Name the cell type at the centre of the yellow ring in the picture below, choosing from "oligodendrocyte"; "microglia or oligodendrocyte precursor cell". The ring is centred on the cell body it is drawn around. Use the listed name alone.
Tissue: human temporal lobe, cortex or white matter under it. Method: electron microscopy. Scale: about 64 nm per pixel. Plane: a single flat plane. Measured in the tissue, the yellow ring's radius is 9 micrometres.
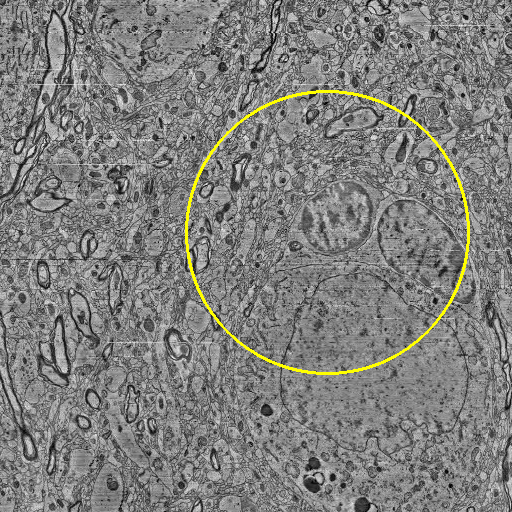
oligodendrocyte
